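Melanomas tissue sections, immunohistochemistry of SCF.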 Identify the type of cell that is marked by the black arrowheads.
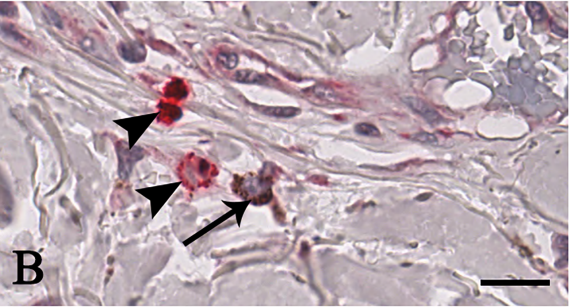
mast cells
